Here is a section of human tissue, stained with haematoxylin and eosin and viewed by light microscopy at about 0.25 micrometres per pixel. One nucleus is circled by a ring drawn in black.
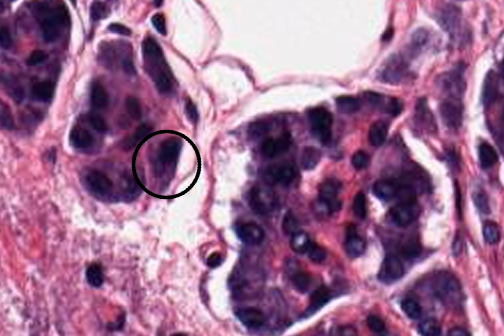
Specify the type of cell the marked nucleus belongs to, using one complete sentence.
The marked nucleus is part of a pancreatic acinar cell.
